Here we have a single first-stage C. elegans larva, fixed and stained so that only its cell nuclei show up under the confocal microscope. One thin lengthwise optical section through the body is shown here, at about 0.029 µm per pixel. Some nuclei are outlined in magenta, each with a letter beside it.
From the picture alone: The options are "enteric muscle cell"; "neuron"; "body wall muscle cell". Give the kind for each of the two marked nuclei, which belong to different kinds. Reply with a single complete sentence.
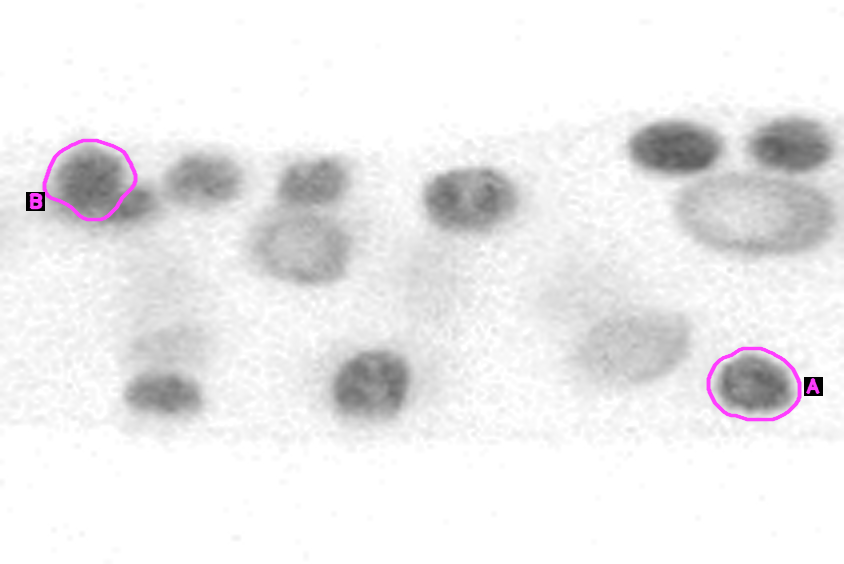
The nucleus A is that of a body wall muscle cell, while B is that of a neuron.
